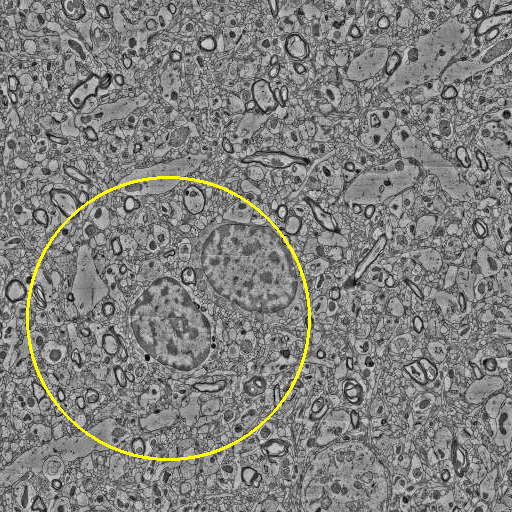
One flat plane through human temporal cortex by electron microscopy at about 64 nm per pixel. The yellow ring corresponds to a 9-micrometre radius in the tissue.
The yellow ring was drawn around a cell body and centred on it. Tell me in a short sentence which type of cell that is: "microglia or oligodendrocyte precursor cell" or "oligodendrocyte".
The cell at the ring's centre is a microglial cell or oligodendrocyte precursor cell.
